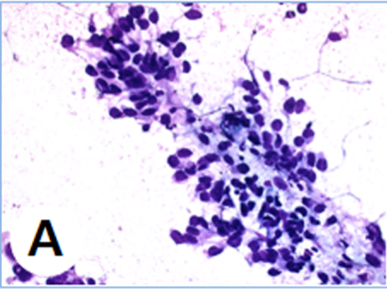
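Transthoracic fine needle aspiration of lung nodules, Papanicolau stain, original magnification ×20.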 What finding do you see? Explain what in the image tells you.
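Hyperchromatic nuclei. Nuclei stain deep dark purple. Nuclei take up most of each cell.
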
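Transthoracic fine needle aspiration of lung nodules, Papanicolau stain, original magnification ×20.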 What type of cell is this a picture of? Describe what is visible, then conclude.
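Cells lie crowded together in a cluster. Nuclei are large, oval to elongated and dark purple. Little cytoplasm surrounds each nucleus. That points to this answer: tumor cells.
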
